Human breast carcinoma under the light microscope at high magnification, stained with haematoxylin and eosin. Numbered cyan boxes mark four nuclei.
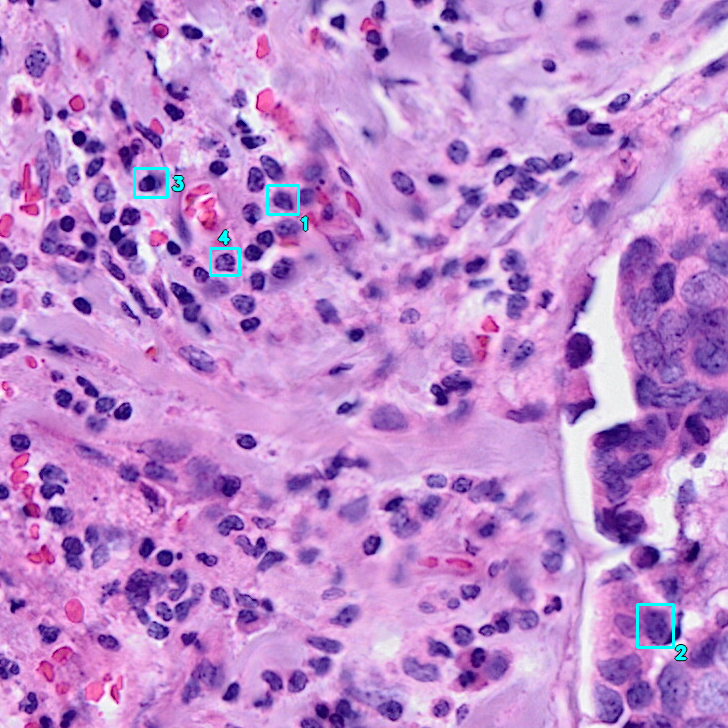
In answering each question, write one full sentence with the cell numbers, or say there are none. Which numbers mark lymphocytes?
The cells that bear the numbers 1, 3 and 4 are lymphocytes.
